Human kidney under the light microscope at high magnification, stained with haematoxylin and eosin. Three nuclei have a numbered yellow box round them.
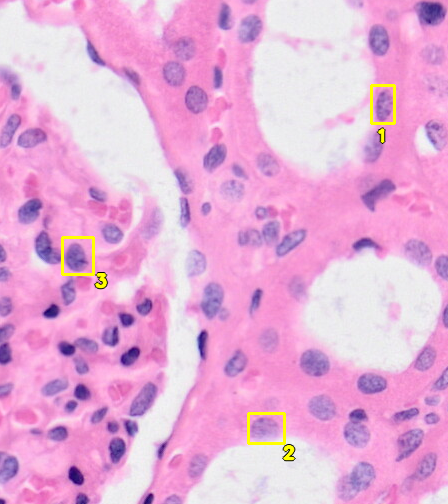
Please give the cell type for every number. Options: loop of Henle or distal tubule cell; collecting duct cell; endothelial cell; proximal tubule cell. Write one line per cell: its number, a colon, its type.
1: loop of Henle or distal tubule cell
2: loop of Henle or distal tubule cell
3: endothelial cell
